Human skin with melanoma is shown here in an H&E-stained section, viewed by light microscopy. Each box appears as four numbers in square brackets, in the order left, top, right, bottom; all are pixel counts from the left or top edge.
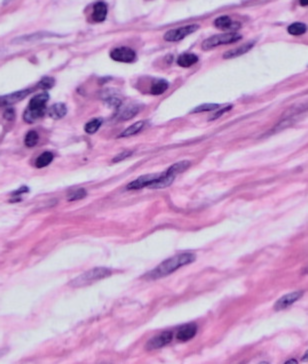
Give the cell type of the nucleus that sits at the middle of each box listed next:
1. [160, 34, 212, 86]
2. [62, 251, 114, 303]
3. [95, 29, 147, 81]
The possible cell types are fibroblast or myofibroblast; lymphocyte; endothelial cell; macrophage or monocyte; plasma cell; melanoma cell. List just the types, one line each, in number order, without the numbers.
plasma cell
fibroblast or myofibroblast
plasma cell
